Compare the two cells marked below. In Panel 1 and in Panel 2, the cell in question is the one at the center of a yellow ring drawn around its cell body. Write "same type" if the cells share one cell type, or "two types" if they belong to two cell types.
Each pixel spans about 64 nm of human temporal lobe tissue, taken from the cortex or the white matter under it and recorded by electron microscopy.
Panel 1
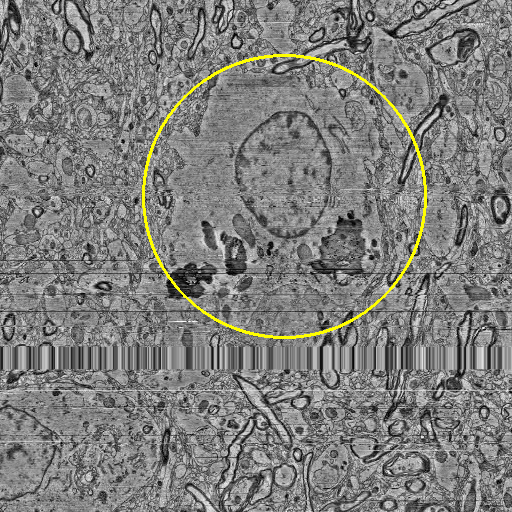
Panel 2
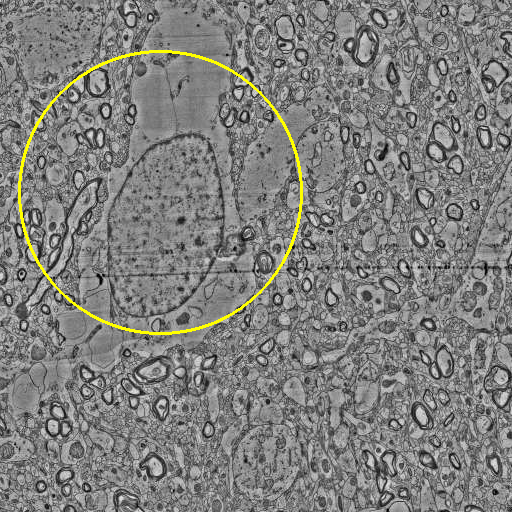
same type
